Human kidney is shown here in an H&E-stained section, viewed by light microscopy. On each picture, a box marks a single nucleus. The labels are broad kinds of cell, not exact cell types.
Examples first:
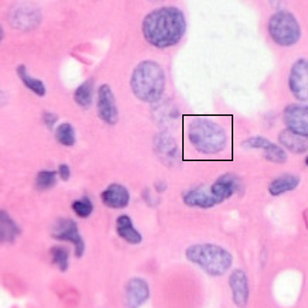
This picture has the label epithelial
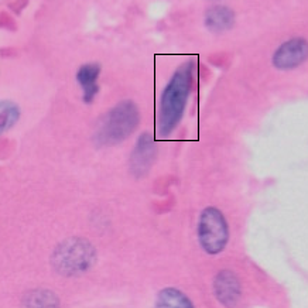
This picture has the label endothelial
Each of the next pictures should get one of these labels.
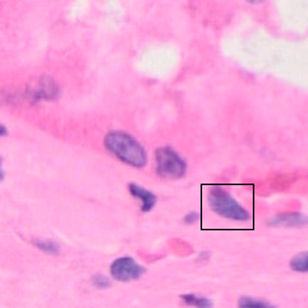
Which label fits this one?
endothelial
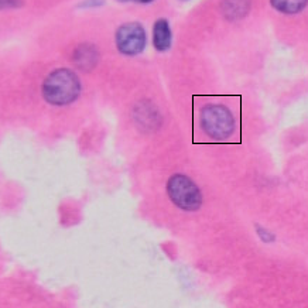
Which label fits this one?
epithelial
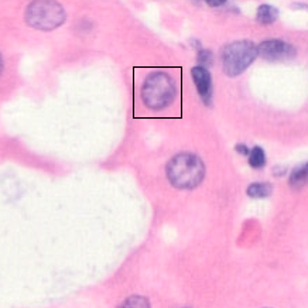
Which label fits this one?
epithelial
